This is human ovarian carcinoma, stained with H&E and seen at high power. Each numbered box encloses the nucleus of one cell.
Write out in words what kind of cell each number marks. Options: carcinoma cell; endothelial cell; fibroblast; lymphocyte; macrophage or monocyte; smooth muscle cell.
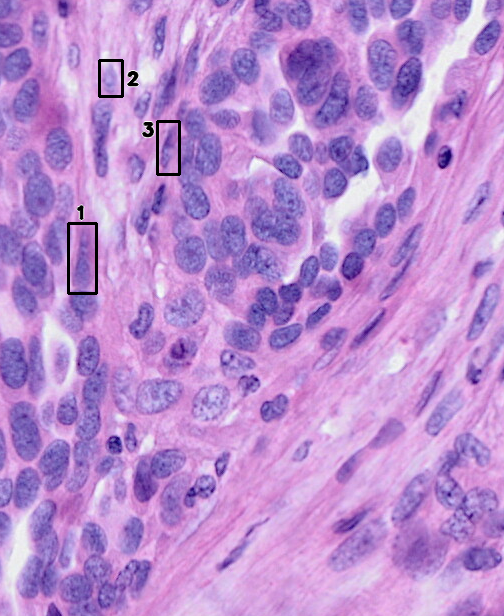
Cell 1 is a carcinoma cell, cell 2 is a fibroblast and cell 3 is a fibroblast.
